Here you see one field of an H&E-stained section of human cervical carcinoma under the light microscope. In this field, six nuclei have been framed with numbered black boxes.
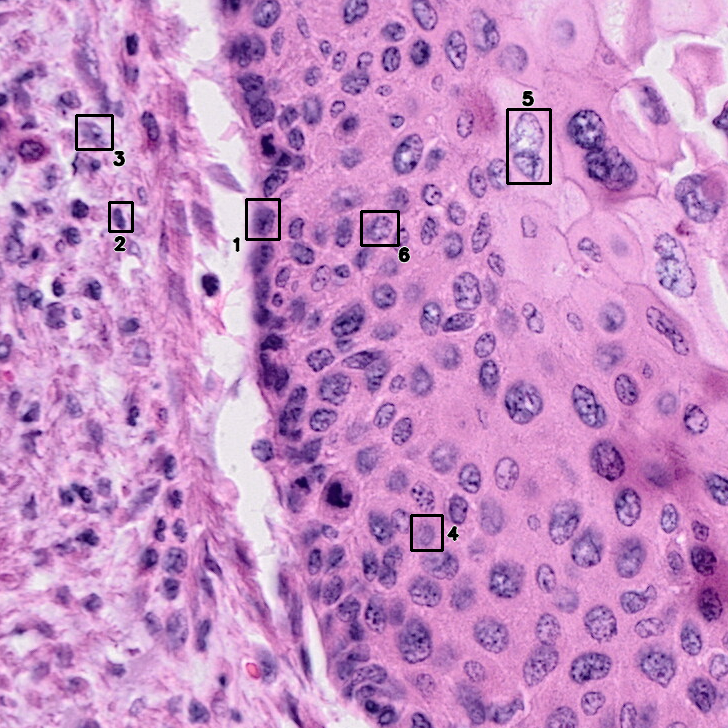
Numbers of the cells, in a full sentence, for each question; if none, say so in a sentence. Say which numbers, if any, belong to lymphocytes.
The one cell that is a lymphocyte is cell 2, and no other.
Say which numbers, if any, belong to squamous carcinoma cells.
The cells labelled 1, 4, 5 and 6 in this section are squamous carcinoma cells.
